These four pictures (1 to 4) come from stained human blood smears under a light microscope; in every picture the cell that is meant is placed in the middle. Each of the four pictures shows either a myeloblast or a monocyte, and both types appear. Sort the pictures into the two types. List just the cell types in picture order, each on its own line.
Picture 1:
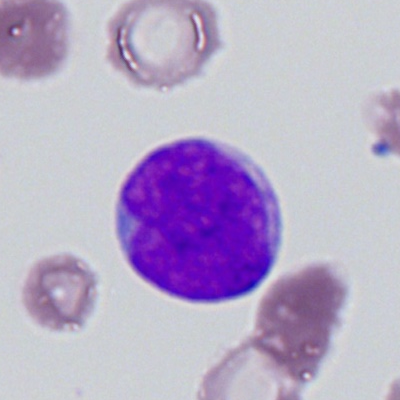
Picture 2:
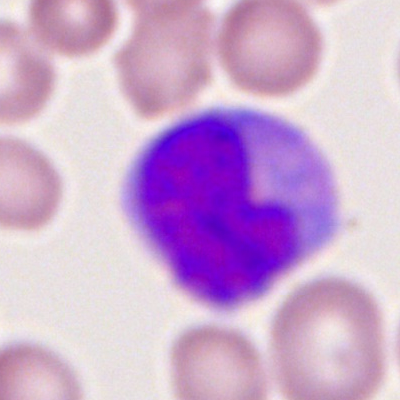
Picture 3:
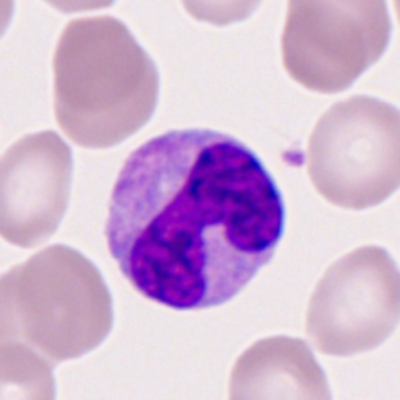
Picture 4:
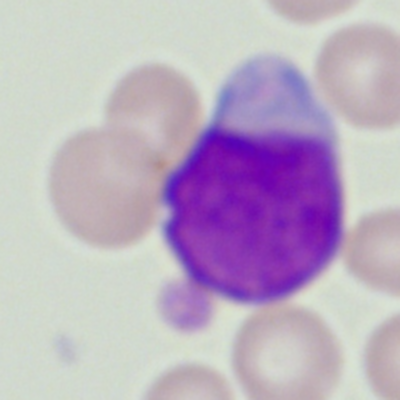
myeloblast
monocyte
monocyte
myeloblast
